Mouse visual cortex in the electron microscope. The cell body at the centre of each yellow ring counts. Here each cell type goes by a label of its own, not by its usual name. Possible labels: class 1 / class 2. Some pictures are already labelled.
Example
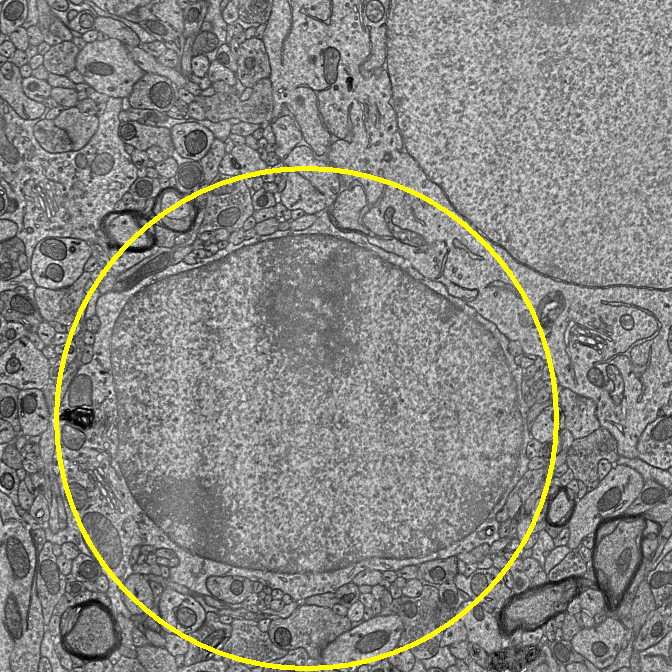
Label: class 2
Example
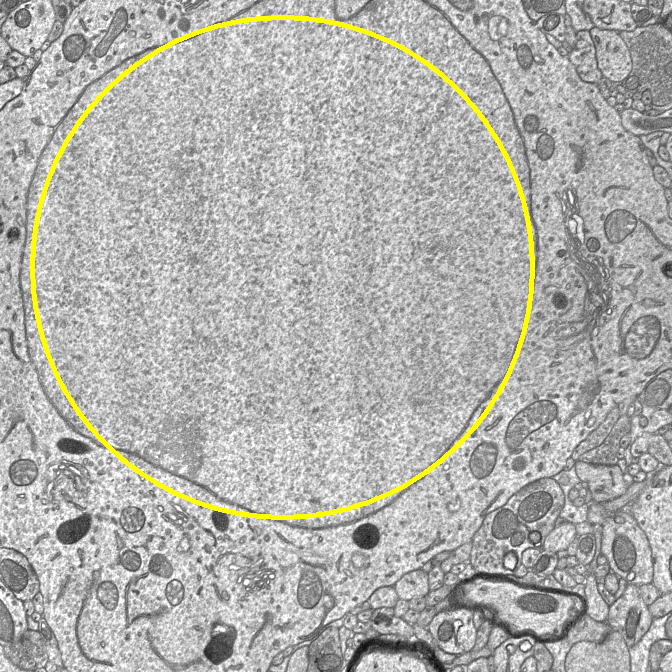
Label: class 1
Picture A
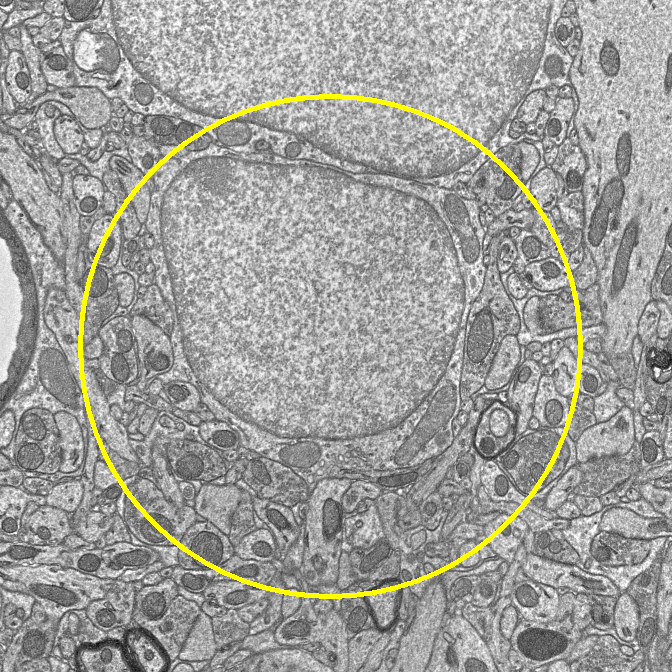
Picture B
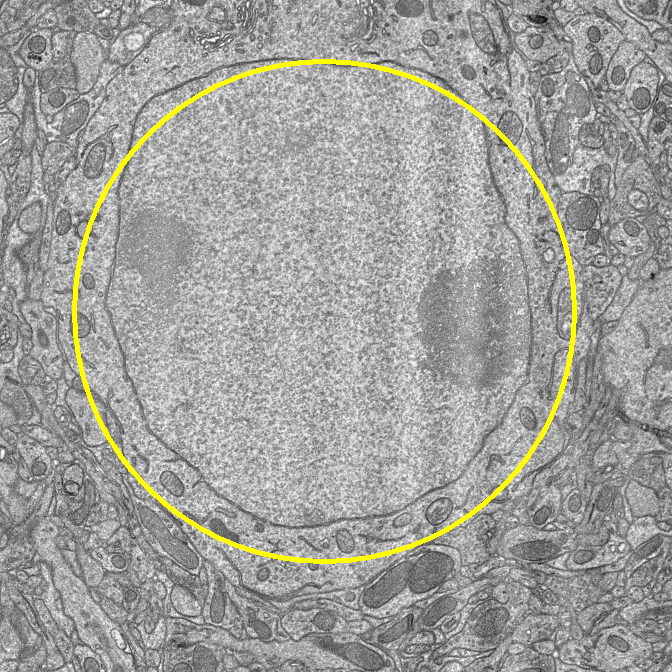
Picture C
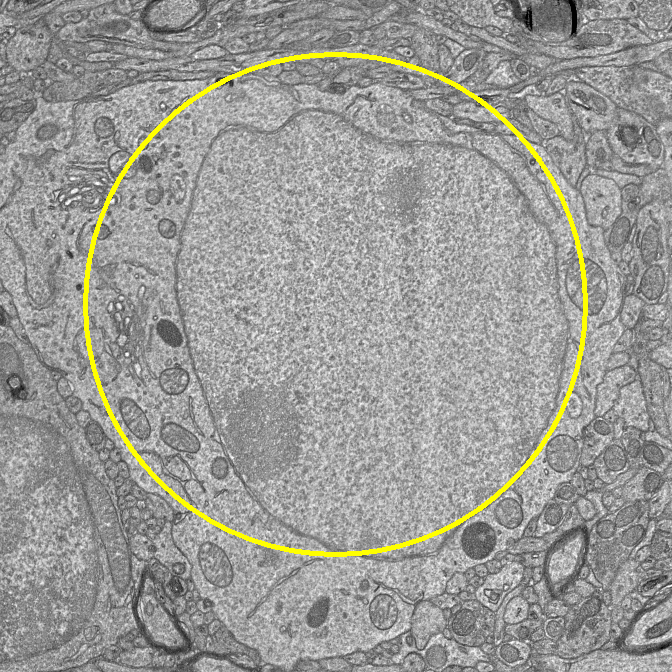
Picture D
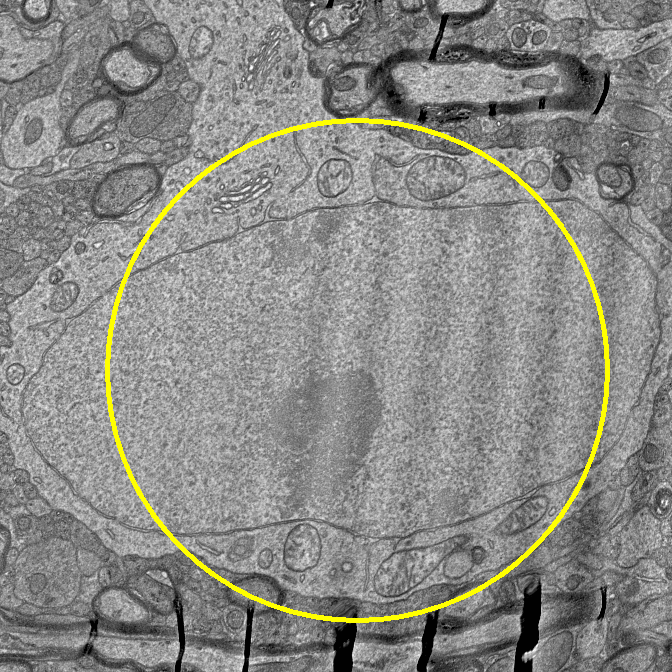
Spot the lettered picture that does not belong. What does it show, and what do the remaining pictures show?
A (class 2) is the exception; every other picture is class 1.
